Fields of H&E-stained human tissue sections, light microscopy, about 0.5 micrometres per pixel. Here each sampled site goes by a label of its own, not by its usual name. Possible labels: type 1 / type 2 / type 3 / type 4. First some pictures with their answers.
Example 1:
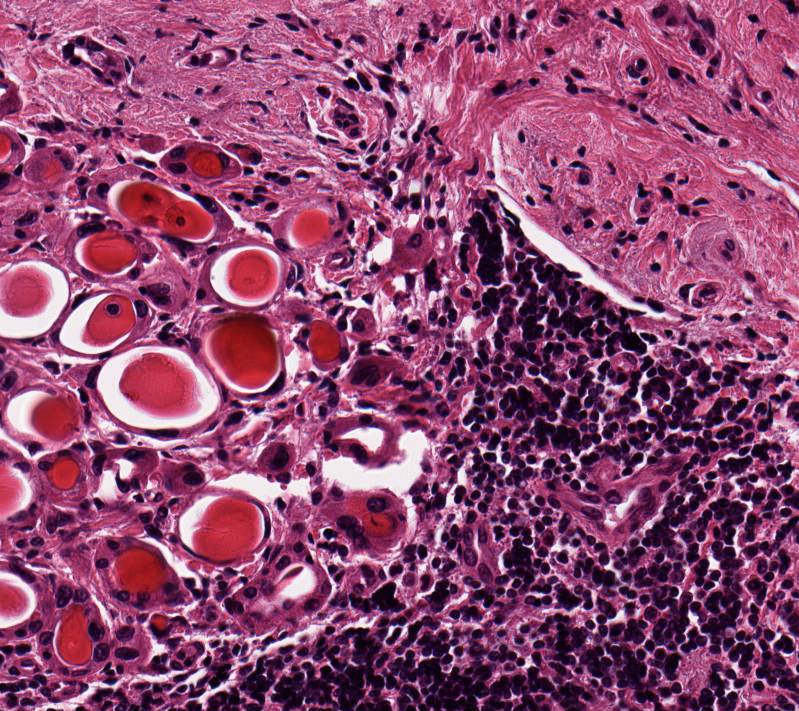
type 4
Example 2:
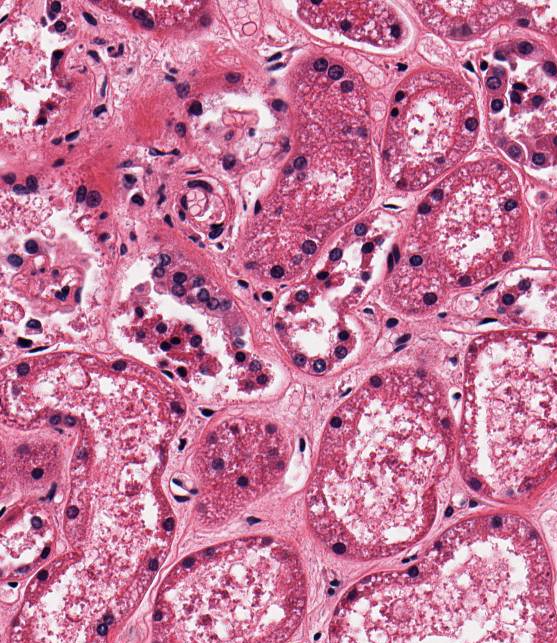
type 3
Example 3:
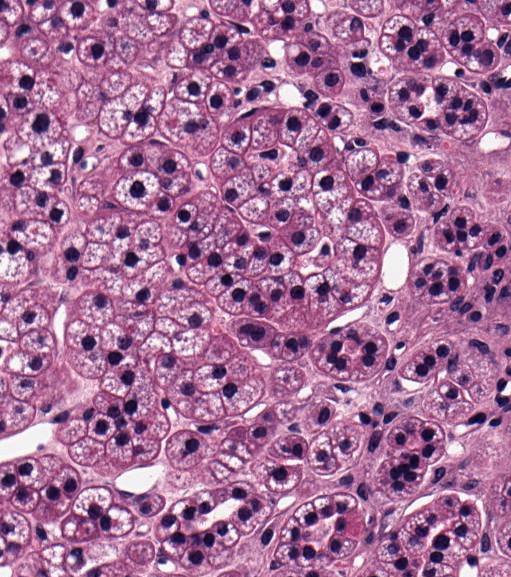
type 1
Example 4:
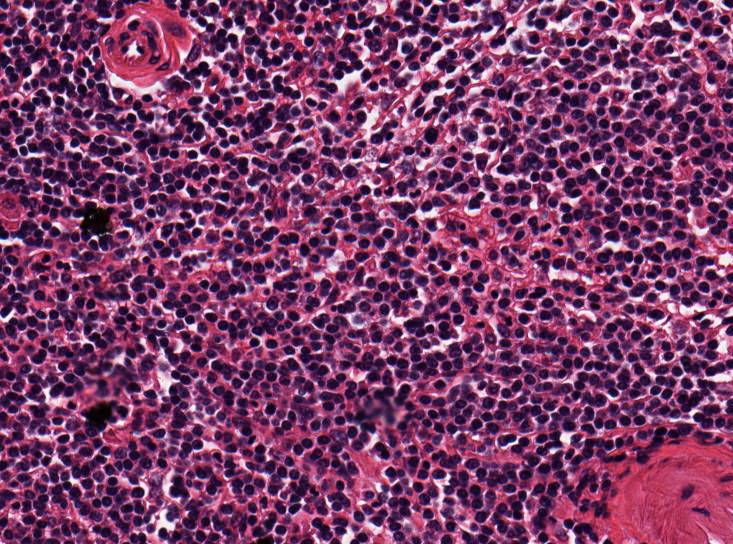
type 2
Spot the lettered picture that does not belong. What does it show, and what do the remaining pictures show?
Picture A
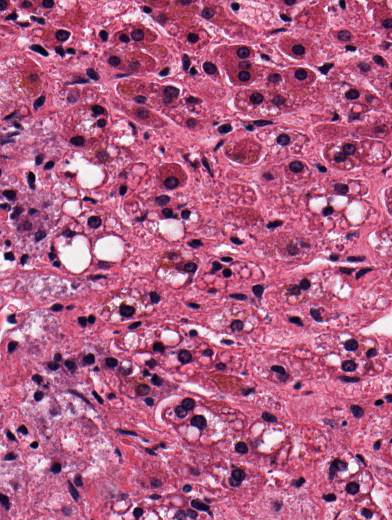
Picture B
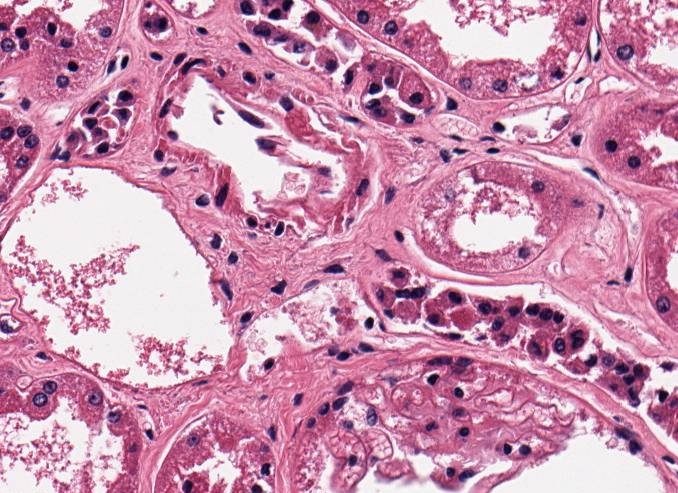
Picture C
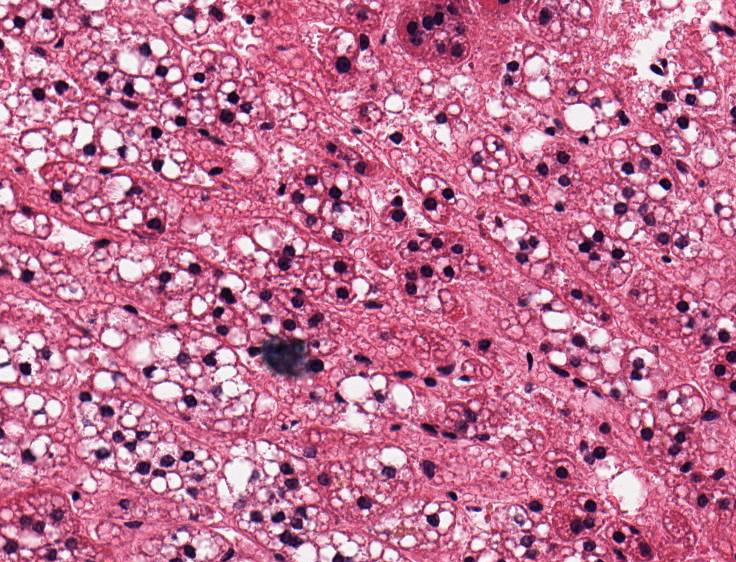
Different: B, type 3. Others: type 1.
